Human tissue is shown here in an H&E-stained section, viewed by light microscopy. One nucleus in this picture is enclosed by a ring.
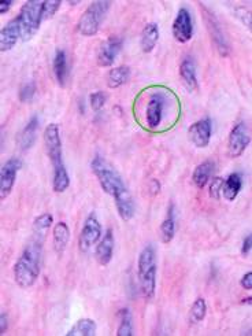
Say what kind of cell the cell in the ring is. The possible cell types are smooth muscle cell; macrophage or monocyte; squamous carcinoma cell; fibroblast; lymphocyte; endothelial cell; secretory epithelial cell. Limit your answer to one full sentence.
As for its identity, the cell in the ring is a smooth muscle cell.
